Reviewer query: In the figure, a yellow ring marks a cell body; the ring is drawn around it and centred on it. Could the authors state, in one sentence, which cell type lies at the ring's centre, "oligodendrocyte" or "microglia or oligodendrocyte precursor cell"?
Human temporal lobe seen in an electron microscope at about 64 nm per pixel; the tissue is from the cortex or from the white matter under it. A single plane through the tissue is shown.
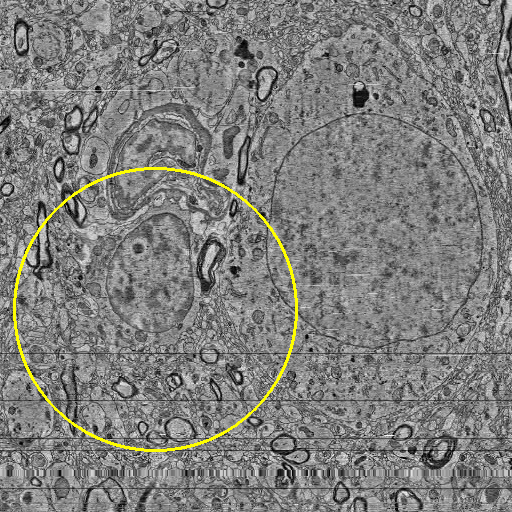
The ring is centred on an oligodendrocyte.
